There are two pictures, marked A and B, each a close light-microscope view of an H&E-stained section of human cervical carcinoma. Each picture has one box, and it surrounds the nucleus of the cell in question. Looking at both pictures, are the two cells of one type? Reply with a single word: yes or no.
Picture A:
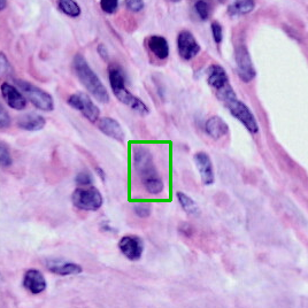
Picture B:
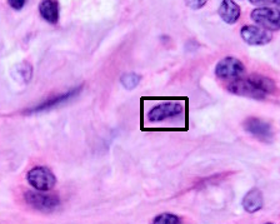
no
